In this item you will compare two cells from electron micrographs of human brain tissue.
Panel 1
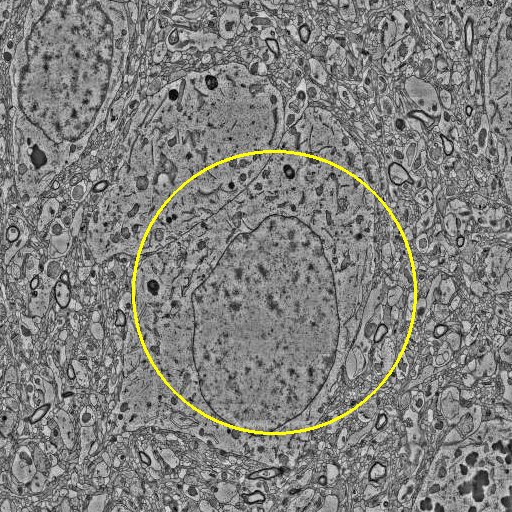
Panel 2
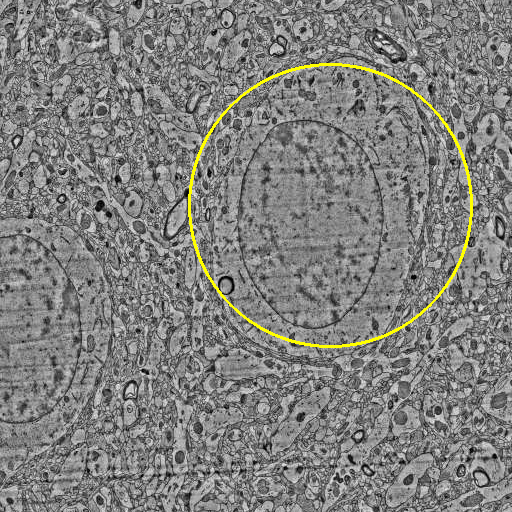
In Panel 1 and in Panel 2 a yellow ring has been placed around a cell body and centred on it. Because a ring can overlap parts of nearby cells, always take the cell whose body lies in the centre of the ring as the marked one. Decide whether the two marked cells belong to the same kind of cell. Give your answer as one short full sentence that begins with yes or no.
Yes, the two marked cells belong to the same kind of cell.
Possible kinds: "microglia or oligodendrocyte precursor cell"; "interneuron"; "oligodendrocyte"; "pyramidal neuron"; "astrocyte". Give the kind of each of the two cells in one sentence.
Each of the ringed cells, first and second, is a pyramidal neuron.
